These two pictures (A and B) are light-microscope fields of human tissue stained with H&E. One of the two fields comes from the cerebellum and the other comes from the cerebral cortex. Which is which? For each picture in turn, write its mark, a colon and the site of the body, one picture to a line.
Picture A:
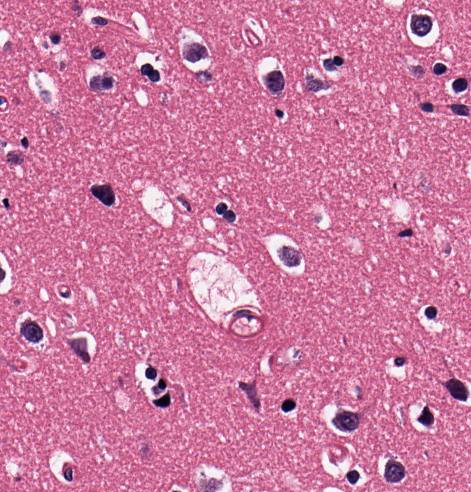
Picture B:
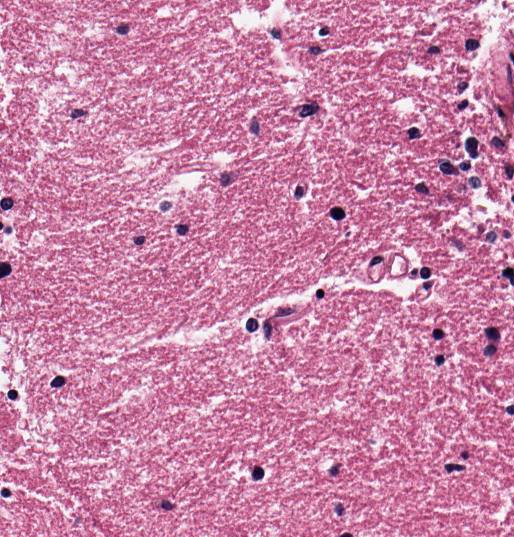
A: cerebral cortex
B: cerebellum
